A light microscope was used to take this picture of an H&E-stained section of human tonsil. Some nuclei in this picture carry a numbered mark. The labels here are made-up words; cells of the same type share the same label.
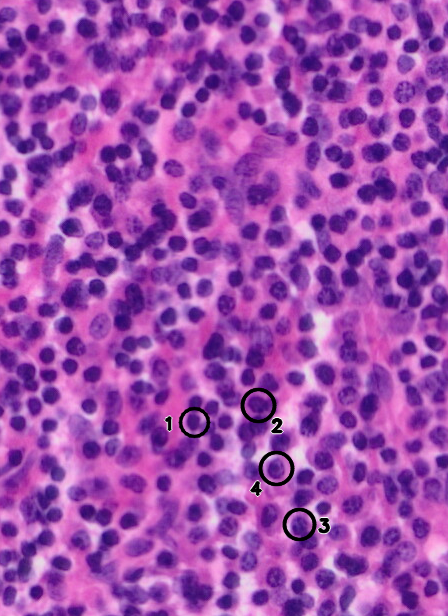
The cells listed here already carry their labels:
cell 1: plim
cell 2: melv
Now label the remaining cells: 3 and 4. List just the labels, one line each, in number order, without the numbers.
melv
melv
